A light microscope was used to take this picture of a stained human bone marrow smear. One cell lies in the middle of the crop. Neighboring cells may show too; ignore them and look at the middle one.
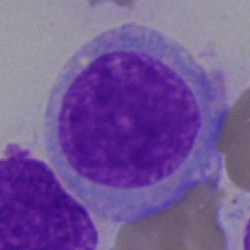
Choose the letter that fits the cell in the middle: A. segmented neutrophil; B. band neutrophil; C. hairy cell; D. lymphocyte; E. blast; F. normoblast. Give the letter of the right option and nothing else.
E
